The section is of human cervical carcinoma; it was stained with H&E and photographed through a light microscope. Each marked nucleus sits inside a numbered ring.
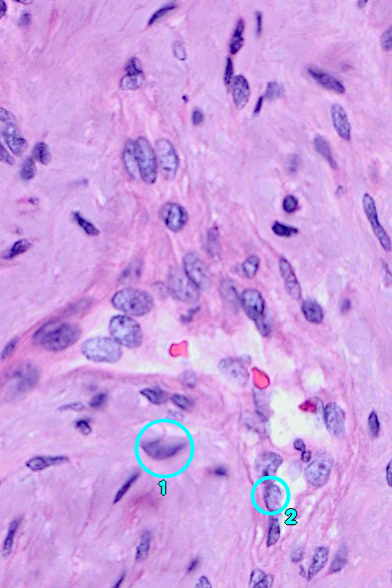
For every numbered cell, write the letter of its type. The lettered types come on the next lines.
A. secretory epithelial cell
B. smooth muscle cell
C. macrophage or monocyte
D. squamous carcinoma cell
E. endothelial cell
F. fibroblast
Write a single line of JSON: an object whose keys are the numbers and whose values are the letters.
{"1": "F", "2": "E"}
